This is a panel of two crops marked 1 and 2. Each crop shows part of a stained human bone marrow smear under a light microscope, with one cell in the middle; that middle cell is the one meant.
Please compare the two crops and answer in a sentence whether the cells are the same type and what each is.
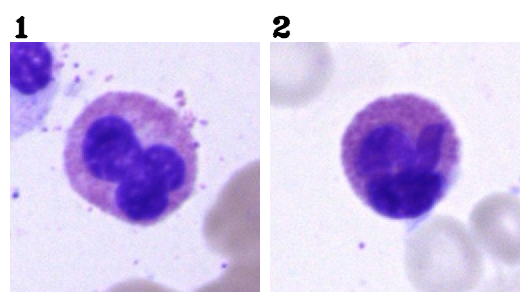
Yes, that holds, both crops show eosinophils.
